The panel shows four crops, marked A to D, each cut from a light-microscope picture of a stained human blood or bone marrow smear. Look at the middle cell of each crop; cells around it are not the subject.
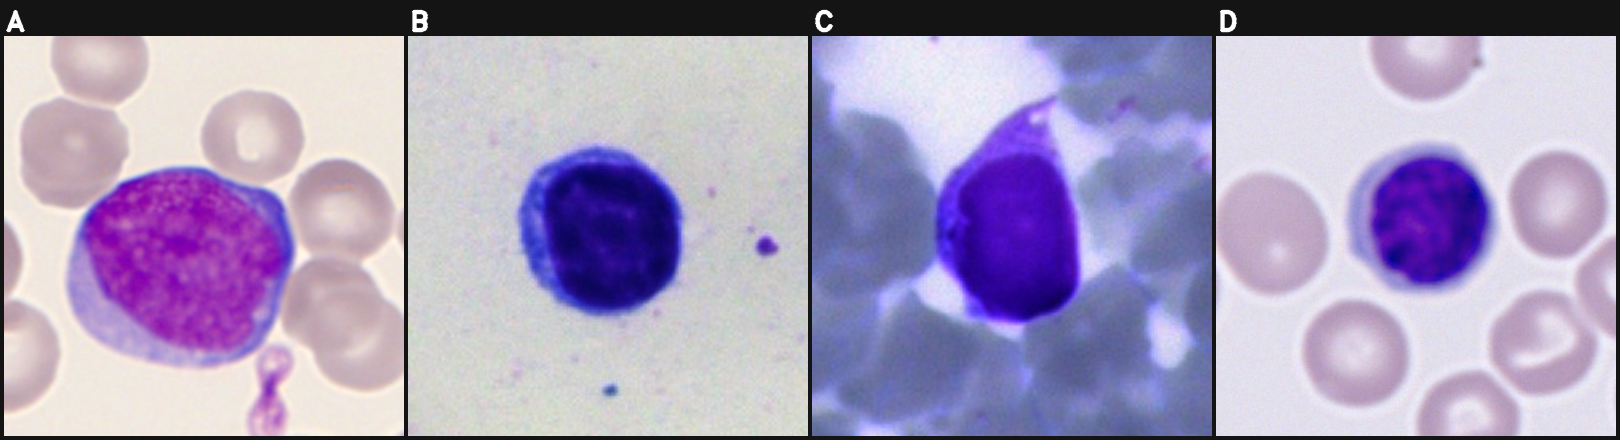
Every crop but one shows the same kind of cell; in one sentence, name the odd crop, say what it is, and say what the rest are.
Crop A differs: it is a blast, and all the other crops show lymphocytes.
